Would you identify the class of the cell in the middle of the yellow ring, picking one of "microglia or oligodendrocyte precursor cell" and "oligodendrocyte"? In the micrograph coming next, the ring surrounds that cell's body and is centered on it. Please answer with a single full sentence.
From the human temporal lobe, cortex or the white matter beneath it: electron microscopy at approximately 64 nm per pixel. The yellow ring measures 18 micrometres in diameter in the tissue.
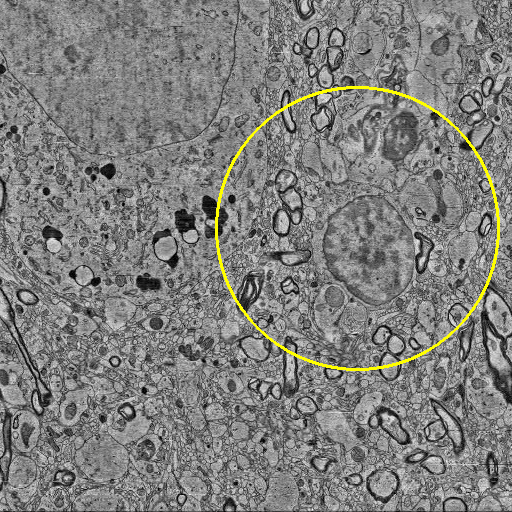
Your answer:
In the micrograph, it is an oligodendrocyte whose body lies at the ring's center.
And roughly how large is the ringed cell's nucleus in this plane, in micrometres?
About 7 by 6 micrometers, in this plane.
